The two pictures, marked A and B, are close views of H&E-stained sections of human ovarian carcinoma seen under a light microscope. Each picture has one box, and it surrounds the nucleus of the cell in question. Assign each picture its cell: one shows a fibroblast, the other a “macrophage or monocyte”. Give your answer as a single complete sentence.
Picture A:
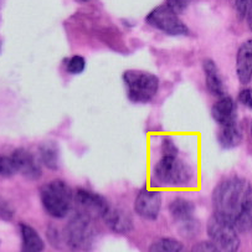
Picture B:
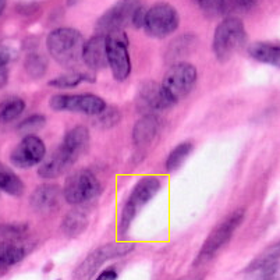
Picture A is of a “macrophage or monocyte”, and picture B is of a fibroblast.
